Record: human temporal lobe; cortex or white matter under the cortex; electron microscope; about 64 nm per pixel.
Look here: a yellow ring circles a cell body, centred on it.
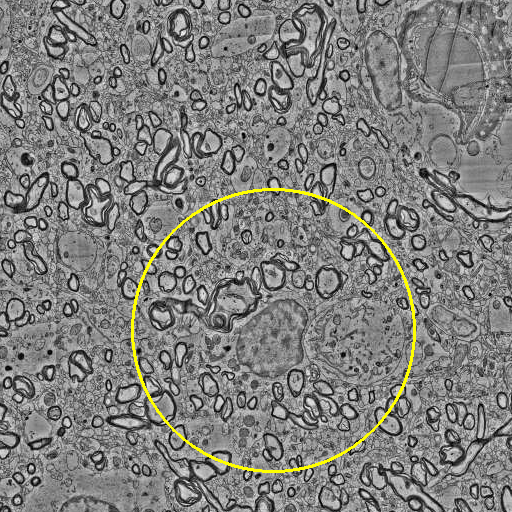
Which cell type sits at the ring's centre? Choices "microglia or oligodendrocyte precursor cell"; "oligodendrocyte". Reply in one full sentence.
The cell at the centre of the yellow ring in the picture is an oligodendrocyte.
